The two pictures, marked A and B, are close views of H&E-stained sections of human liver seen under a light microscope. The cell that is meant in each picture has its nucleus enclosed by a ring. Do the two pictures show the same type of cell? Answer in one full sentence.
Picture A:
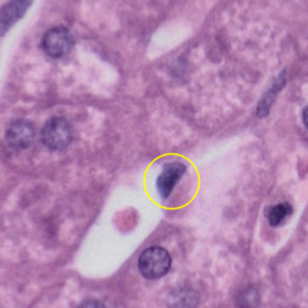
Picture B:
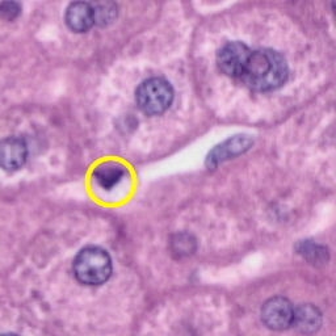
Yes, both cells are endothelial cells.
